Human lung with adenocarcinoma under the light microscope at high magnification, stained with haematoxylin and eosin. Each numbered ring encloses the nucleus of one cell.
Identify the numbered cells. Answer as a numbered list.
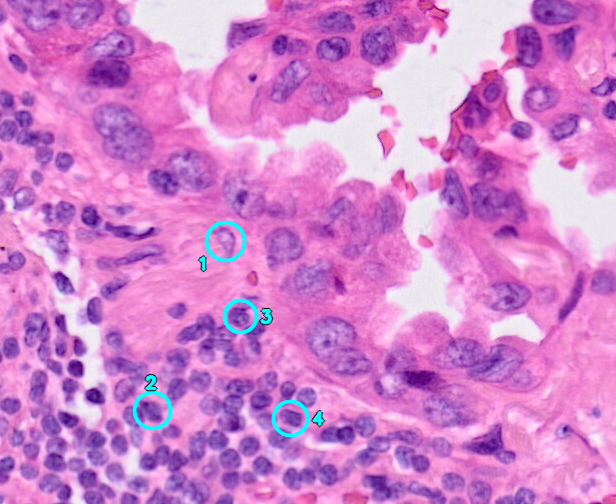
1. fibroblast
2. lymphocyte
3. lymphocyte
4. lymphocyte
